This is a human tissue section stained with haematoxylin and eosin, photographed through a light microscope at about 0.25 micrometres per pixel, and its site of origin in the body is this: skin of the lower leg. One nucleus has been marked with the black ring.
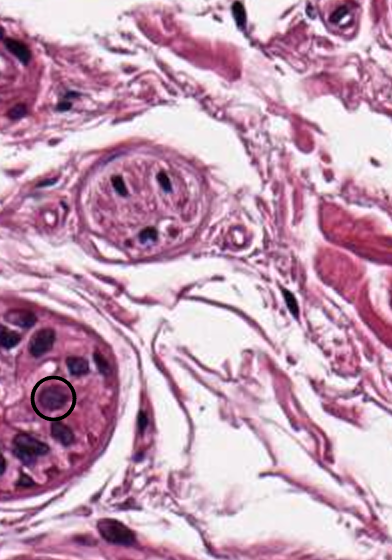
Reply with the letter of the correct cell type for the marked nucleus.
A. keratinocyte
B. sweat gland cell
B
